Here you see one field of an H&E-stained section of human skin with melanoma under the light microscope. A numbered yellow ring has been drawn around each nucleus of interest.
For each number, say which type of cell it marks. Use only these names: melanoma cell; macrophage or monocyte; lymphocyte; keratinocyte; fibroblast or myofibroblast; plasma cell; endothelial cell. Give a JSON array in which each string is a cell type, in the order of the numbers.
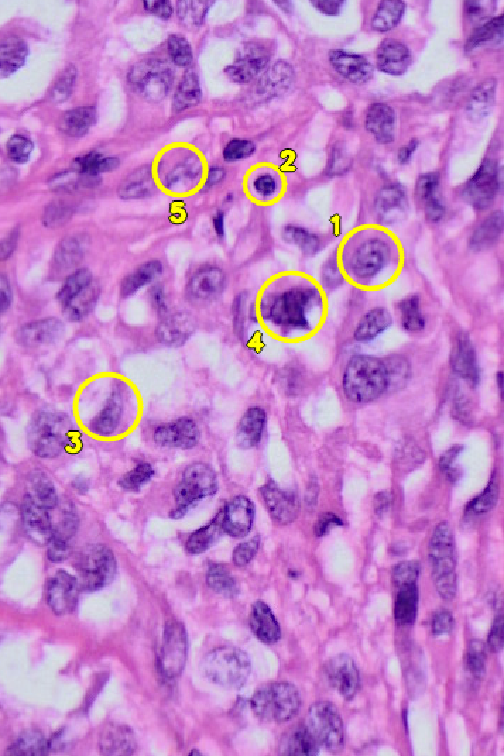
["melanoma cell", "lymphocyte", "melanoma cell", "melanoma cell", "endothelial cell"]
